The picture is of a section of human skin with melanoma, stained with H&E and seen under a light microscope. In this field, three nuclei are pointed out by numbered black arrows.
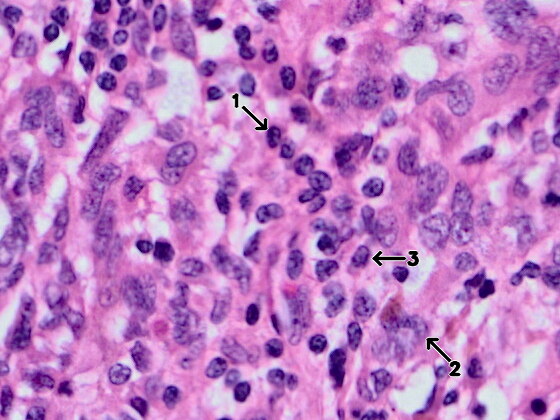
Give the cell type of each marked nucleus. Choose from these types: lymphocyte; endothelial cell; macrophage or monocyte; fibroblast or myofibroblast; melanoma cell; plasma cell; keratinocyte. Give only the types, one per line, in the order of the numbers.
plasma cell
melanoma cell
lymphocyte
